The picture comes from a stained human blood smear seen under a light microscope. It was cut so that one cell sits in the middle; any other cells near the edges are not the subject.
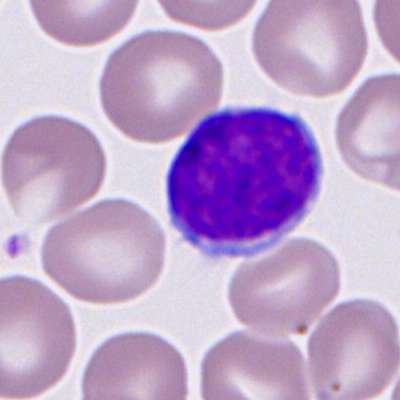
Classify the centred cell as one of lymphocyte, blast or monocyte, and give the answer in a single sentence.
The center cell of this crop is a lymphocyte.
